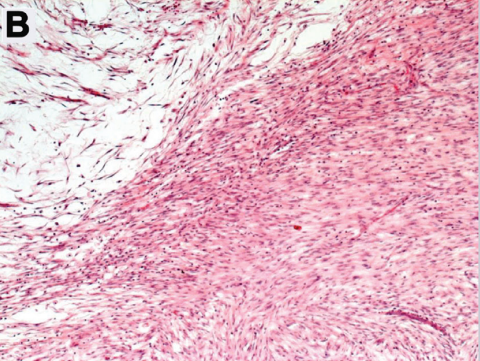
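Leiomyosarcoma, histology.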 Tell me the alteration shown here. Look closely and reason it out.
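These border a denser pink cellular area.
Conclusion: hypocellular myxoid areas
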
